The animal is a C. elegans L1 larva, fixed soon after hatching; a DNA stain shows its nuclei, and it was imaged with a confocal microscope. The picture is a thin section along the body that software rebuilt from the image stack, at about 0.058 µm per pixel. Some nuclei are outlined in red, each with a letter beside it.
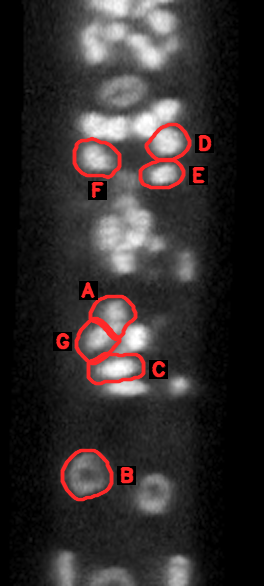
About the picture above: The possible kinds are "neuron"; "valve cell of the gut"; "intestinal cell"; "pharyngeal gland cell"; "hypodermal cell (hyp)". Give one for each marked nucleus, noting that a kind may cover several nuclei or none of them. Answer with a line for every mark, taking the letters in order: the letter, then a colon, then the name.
A: valve cell of the gut
B: intestinal cell
C: valve cell of the gut
D: neuron
E: neuron
F: neuron
G: pharyngeal gland cell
